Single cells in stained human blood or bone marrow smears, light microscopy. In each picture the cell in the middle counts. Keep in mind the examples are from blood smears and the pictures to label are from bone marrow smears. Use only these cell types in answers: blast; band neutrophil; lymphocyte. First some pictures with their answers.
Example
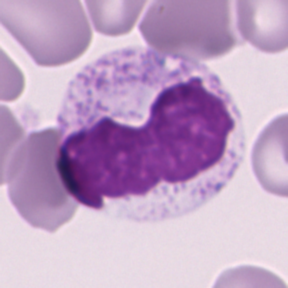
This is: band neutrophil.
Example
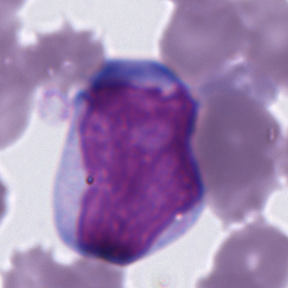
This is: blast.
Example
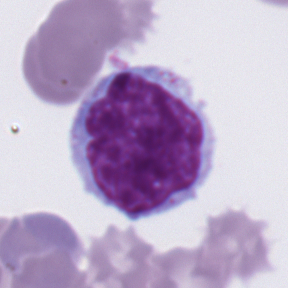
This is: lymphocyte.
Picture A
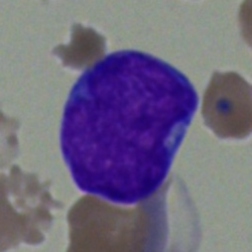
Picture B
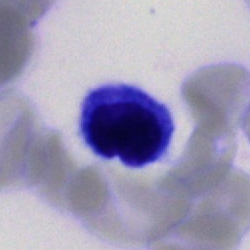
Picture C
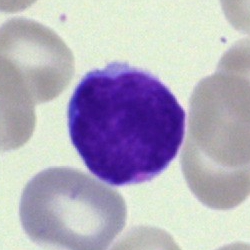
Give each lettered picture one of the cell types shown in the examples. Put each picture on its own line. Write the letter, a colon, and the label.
A: blast.
B: lymphocyte.
C: lymphocyte.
